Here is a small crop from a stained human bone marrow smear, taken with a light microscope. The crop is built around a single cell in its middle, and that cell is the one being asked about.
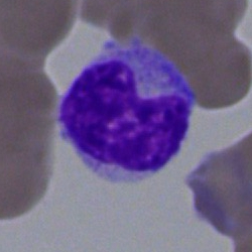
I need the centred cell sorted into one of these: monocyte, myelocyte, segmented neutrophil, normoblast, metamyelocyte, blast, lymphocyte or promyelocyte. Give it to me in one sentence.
Positioned in the middle of the crop is a metamyelocyte.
